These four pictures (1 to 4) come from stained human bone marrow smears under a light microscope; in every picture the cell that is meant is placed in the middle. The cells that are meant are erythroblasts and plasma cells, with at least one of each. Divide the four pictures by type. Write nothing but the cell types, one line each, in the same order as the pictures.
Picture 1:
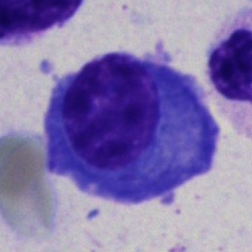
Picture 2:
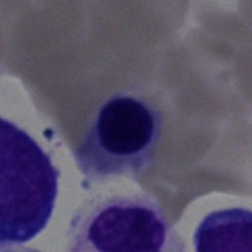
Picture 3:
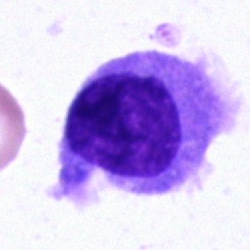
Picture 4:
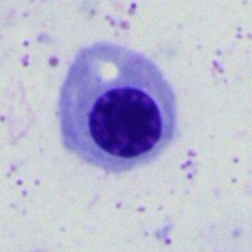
plasma cell
erythroblast
plasma cell
erythroblast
